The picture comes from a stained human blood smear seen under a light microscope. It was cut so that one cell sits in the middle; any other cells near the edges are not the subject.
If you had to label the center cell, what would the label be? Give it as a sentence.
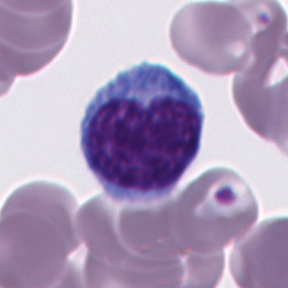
Centred in the crop is a monocyte.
